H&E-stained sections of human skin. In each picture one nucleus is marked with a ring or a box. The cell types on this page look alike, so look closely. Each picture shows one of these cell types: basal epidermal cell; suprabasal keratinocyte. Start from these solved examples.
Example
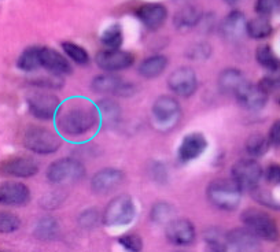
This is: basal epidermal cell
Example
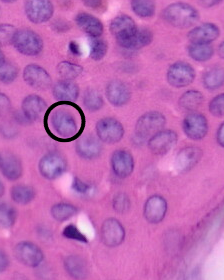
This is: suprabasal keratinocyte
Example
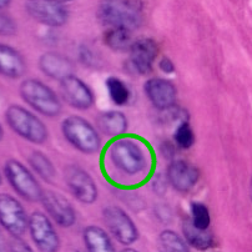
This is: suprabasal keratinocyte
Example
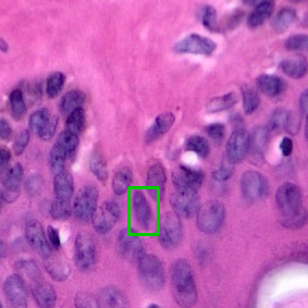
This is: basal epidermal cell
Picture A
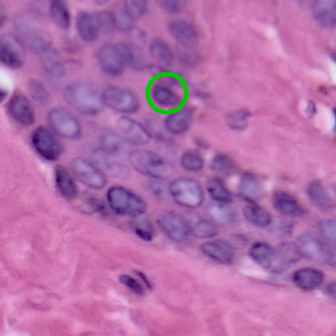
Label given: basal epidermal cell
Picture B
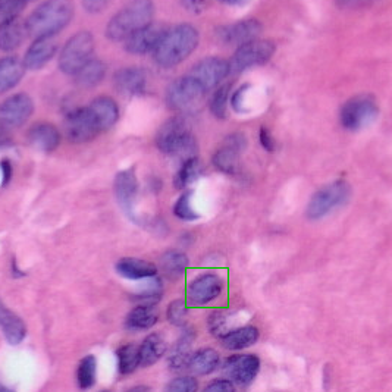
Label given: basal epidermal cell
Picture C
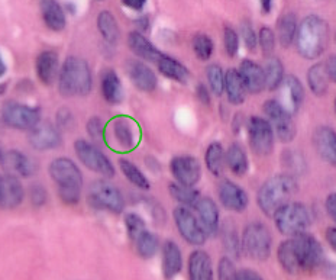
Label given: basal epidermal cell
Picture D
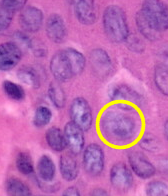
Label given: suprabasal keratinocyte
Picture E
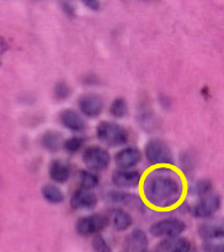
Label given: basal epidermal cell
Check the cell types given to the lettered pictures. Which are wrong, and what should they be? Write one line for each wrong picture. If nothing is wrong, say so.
Every label is right.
